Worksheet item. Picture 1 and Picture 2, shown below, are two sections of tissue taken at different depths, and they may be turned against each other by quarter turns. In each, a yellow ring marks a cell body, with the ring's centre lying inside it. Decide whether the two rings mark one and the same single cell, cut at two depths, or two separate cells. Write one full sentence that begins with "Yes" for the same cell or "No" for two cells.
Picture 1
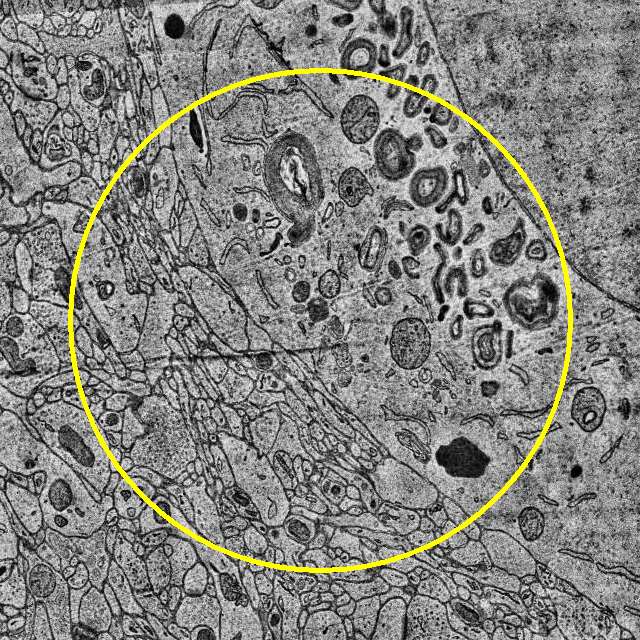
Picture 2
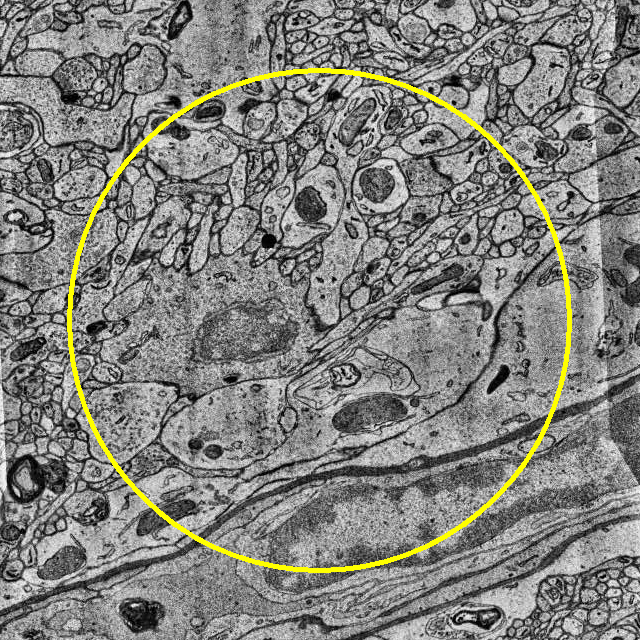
No, the yellow rings are placed on two separate cells.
